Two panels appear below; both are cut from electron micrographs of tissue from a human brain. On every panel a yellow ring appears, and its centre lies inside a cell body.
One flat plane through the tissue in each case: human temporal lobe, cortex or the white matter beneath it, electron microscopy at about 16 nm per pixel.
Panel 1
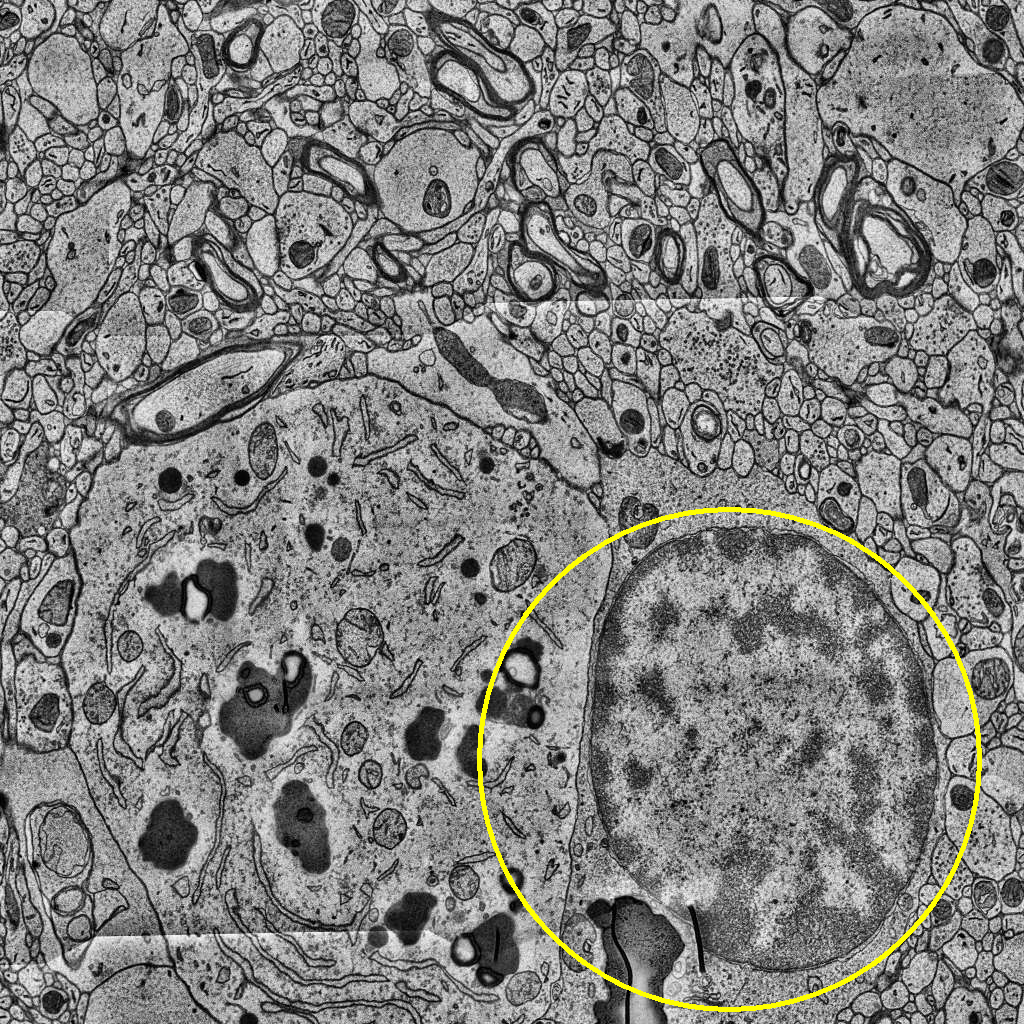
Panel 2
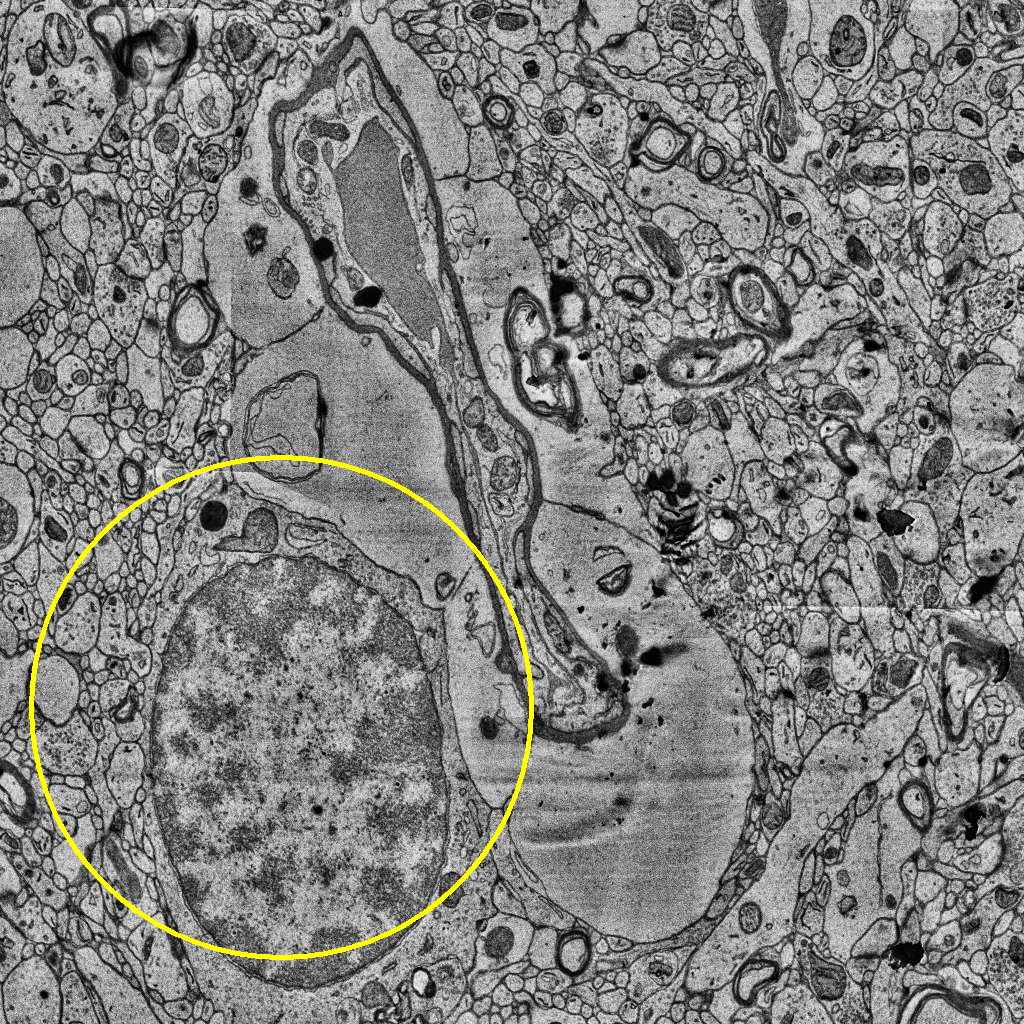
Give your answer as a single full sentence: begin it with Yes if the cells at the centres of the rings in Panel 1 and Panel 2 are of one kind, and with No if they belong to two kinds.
Yes, the cells at the middle of the rings in Panels 1 and 2 are of one kind.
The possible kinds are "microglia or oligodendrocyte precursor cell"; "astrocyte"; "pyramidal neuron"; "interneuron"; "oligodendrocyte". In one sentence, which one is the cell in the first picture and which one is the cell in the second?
Each cell, in the first picture and the second, is an oligodendrocyte.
